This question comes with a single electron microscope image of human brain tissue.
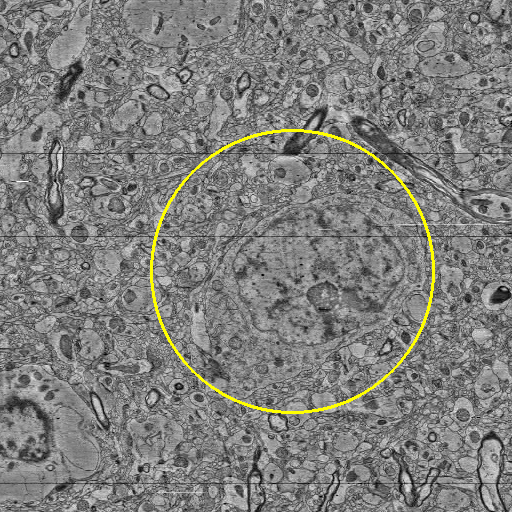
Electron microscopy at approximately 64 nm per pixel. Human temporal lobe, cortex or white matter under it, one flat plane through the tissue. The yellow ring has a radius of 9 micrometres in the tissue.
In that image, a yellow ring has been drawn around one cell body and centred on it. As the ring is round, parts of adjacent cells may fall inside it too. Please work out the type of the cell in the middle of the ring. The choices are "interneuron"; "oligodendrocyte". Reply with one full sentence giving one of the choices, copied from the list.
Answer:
Of the choices, an interneuron is the cell sitting in the middle of the ring.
